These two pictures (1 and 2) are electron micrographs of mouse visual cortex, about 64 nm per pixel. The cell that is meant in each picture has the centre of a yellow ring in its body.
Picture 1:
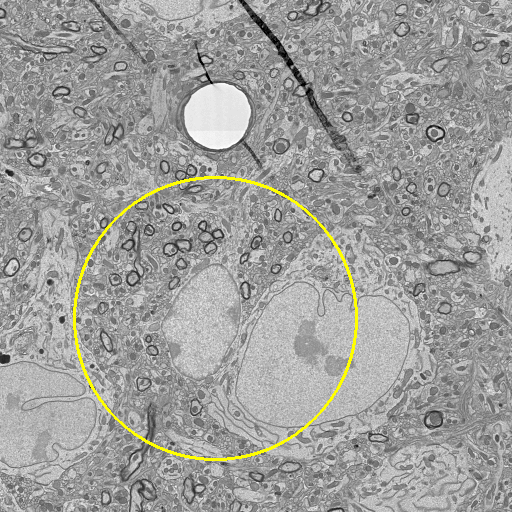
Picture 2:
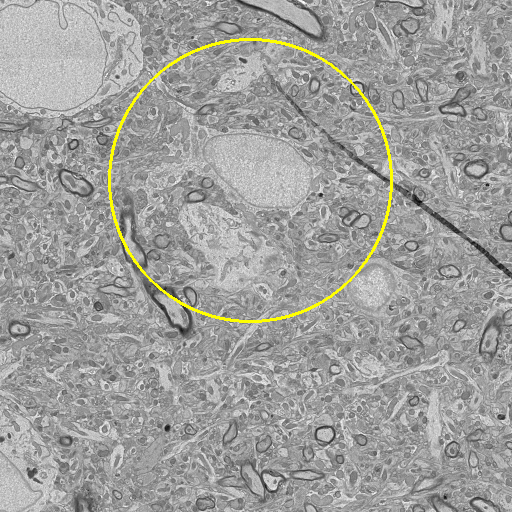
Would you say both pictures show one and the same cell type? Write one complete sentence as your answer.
Yes, the two pictures both show astrocytes.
